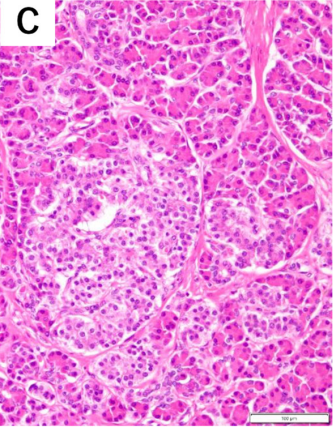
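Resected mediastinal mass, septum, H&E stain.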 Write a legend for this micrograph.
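This is pancreatic tissue: lobules of acini made of pyramidal cells with pink, finely granular cytoplasm and small round basal nuclei, arranged in small rounded clusters around tiny lumens. Thin pink fibrous septa divide the lobules. Near the centre lies a paler, rounded cluster of cells with lighter cytoplasm, an islet set among the darker acini, and small ductal profiles with a central lumen appear between the acinar groups. The architecture is orderly, much like normal pancreas.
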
